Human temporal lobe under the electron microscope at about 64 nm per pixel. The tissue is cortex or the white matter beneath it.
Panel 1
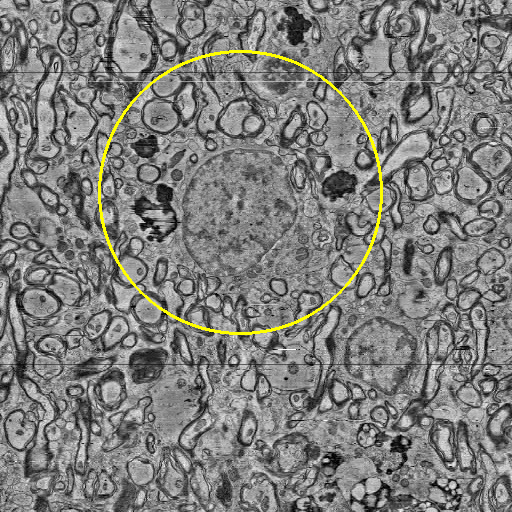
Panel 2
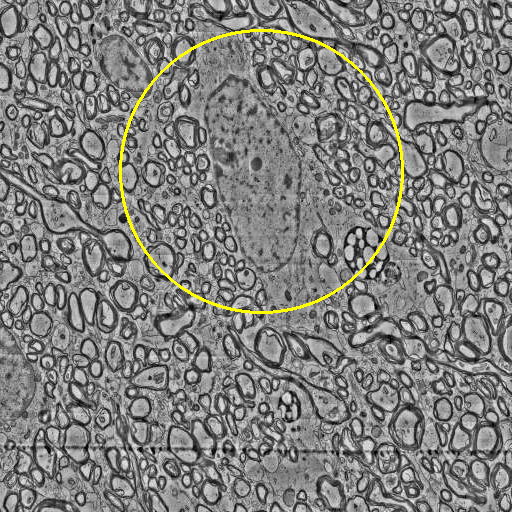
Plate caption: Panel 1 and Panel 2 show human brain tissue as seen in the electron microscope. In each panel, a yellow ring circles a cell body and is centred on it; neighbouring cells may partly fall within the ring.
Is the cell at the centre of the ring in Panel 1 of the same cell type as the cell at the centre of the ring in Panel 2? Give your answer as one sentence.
No, the two cells are of two types.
